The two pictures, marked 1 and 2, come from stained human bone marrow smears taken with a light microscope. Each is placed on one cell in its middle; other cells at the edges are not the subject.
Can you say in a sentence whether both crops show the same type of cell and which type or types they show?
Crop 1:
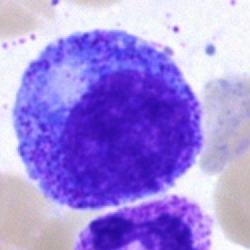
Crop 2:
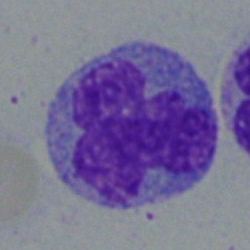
No, a promyelocyte is the cell in crop 1; a monocyte is the cell in crop 2.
